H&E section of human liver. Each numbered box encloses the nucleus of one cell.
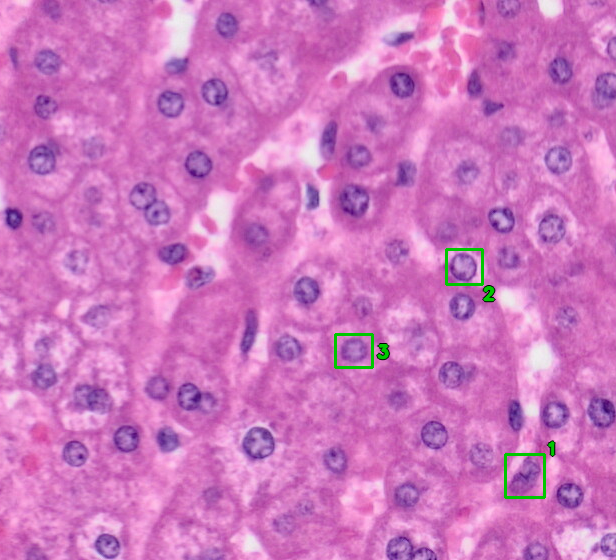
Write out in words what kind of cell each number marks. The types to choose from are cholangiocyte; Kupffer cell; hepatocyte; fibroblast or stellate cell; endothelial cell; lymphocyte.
Cell 1 is a Kupffer cell. Cells 2 and 3 are hepatocytes.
